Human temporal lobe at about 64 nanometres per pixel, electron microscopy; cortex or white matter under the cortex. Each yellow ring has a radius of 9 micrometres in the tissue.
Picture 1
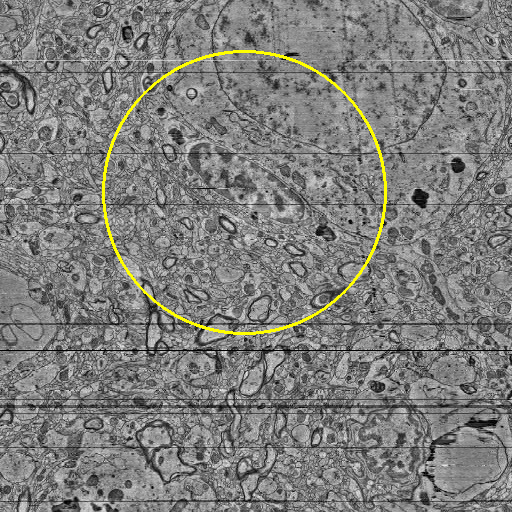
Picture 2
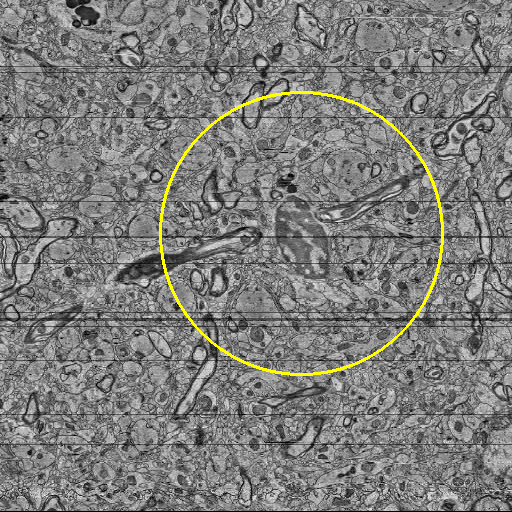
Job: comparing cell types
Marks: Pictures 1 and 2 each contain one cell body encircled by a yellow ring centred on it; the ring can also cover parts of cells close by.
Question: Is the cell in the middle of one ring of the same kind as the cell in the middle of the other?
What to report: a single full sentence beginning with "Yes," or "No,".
Yes, the cell at the ring centre in Picture 1 and its partner in Picture 2 are of one kind.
